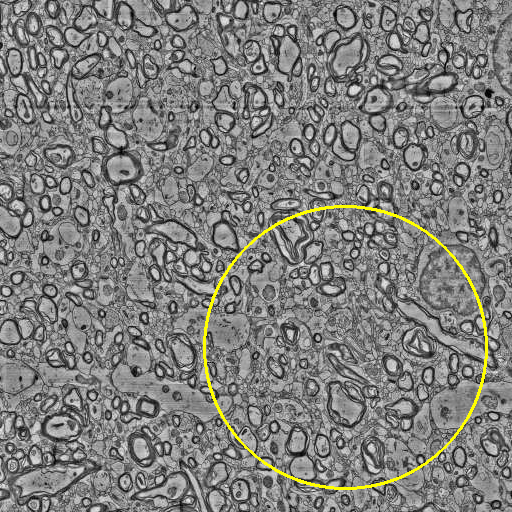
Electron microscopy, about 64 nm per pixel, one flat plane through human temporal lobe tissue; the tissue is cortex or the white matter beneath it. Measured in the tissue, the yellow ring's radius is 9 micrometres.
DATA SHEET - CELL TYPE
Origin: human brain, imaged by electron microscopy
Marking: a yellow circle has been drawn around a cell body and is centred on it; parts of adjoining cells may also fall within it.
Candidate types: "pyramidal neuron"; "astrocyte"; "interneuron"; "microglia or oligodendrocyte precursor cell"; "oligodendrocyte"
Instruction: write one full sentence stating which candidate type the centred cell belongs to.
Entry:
The cell body at the centre of the yellow ring in this micrograph belongs to an oligodendrocyte.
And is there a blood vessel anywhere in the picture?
No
